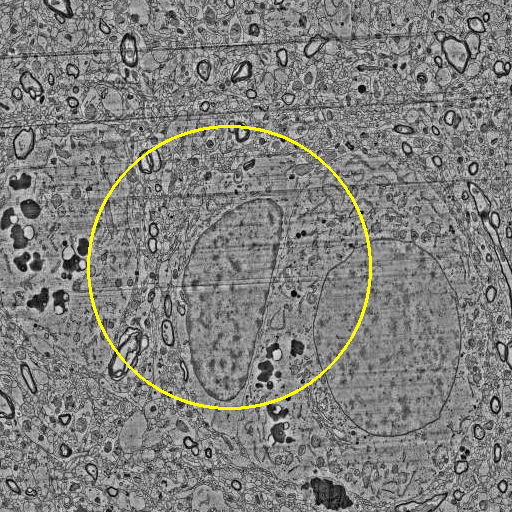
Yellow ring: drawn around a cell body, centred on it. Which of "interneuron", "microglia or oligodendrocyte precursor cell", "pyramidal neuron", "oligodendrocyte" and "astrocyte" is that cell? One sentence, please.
That cell body is from a microglial cell or oligodendrocyte precursor cell.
